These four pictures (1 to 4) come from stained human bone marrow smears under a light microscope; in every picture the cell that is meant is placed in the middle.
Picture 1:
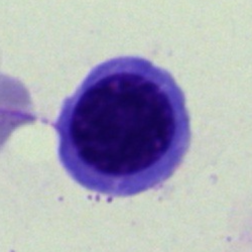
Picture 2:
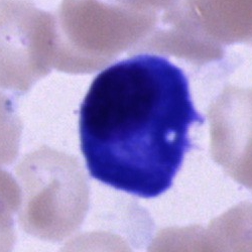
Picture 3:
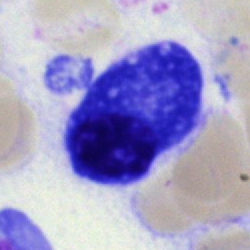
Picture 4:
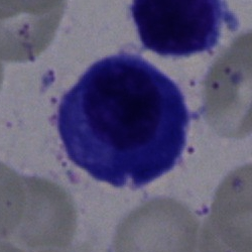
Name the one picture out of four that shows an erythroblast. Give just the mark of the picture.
1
